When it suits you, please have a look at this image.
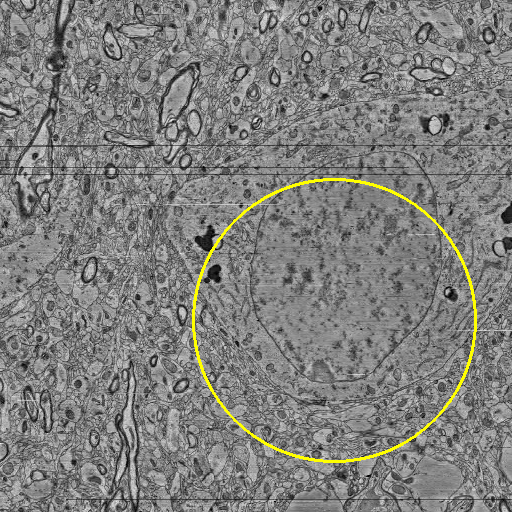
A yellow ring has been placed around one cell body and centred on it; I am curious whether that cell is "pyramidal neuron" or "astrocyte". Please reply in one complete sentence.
The ringed cell, a pyramidal neuron, has its body at the centre of the yellow ring.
